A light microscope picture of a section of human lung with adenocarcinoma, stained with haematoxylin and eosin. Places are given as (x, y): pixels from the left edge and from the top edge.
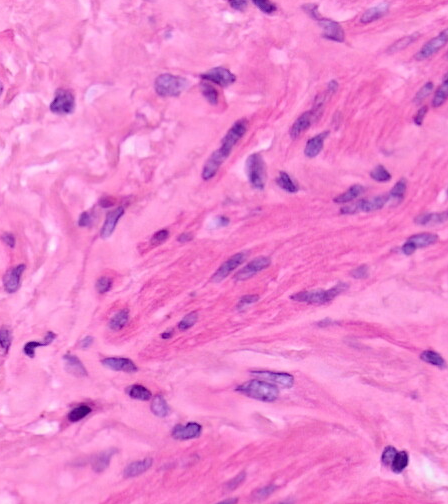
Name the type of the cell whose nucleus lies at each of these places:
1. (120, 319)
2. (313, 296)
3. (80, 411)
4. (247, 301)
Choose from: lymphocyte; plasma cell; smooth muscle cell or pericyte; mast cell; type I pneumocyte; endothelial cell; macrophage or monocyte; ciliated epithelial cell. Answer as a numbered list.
1. smooth muscle cell or pericyte
2. smooth muscle cell or pericyte
3. plasma cell
4. smooth muscle cell or pericyte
